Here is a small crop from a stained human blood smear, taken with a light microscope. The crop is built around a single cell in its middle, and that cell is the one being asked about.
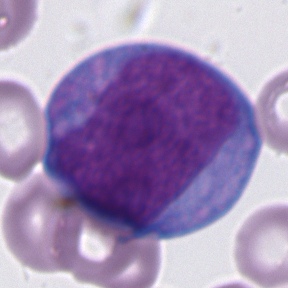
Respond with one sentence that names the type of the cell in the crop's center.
Classified as a promyelocyte is the cell in the middle of this crop.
